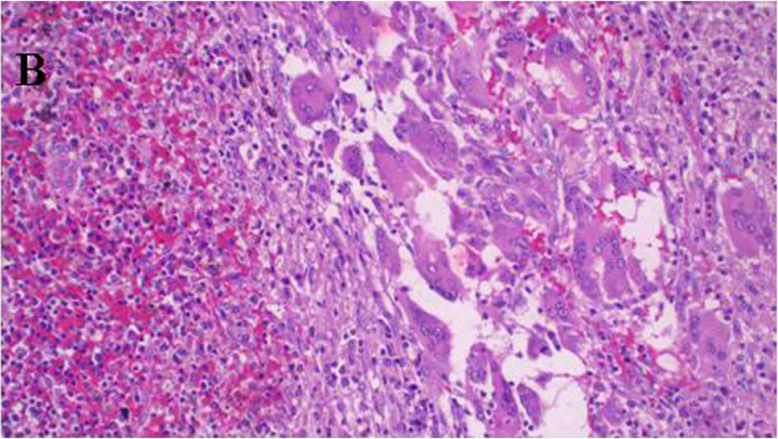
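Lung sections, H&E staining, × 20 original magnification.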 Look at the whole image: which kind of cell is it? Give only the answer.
Multinucleated giant cells.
